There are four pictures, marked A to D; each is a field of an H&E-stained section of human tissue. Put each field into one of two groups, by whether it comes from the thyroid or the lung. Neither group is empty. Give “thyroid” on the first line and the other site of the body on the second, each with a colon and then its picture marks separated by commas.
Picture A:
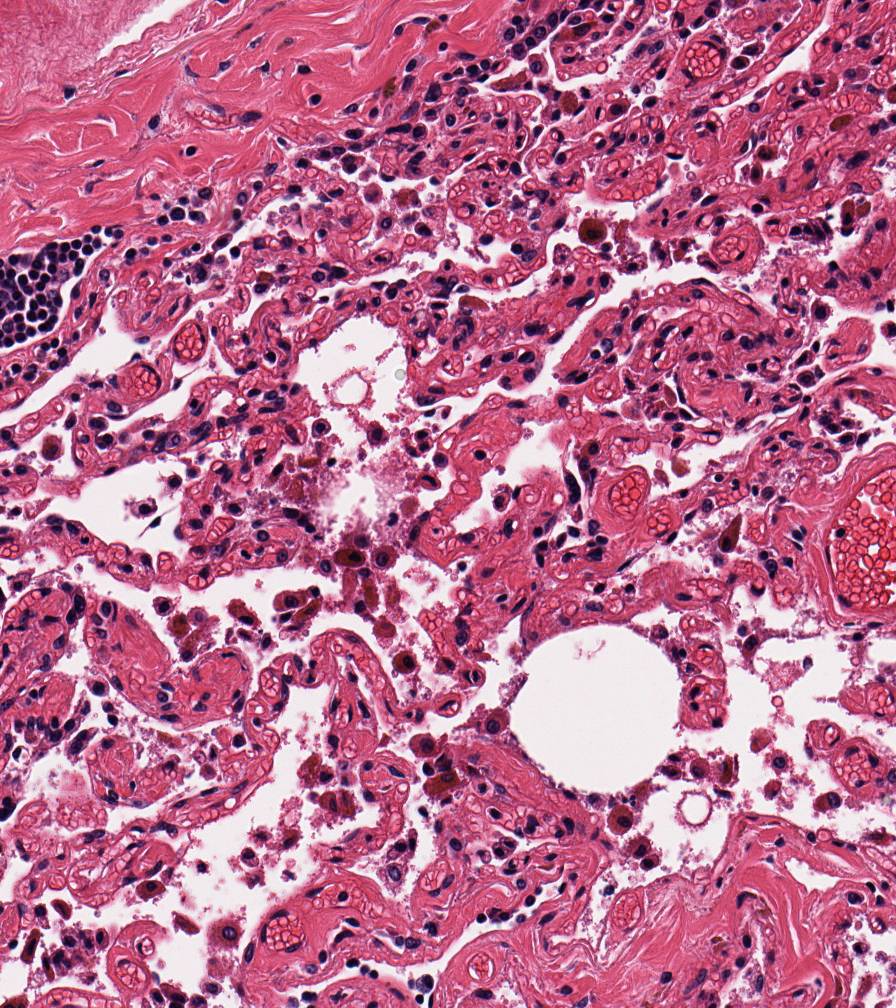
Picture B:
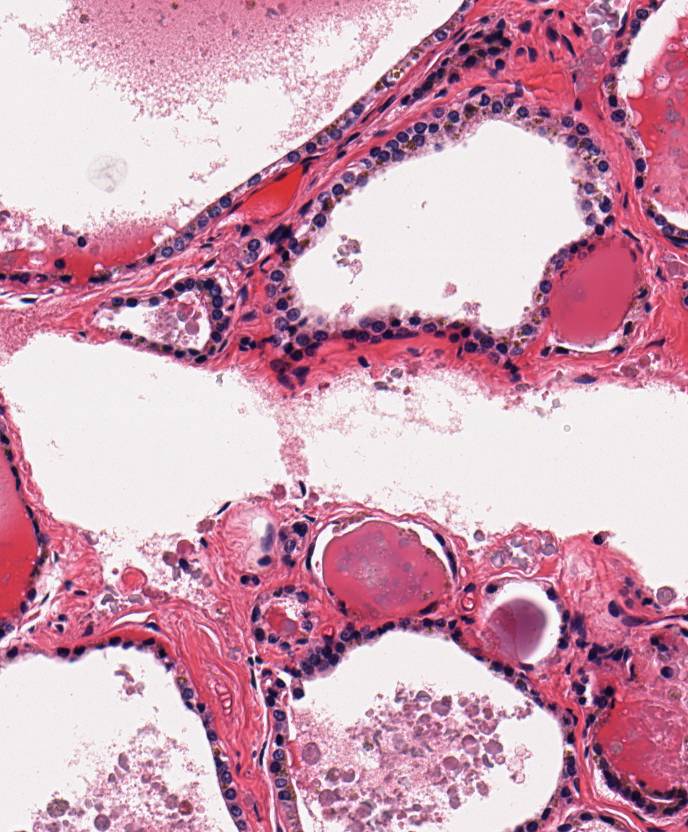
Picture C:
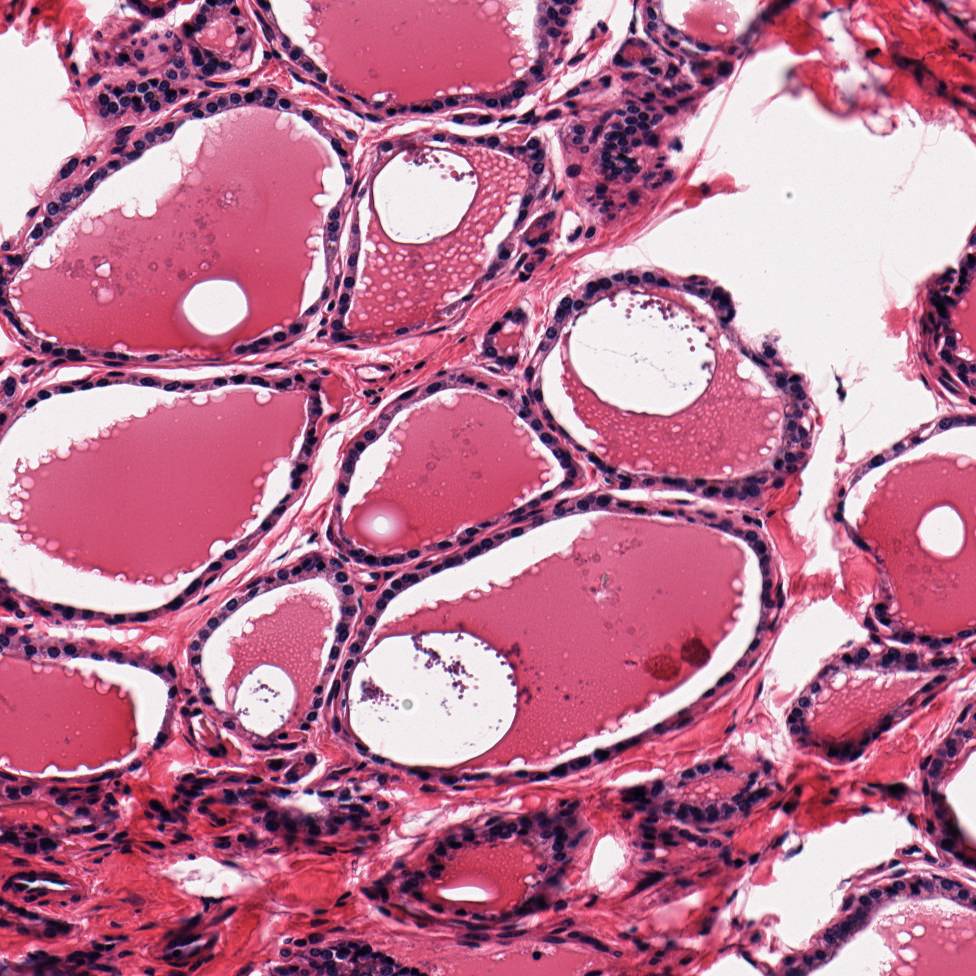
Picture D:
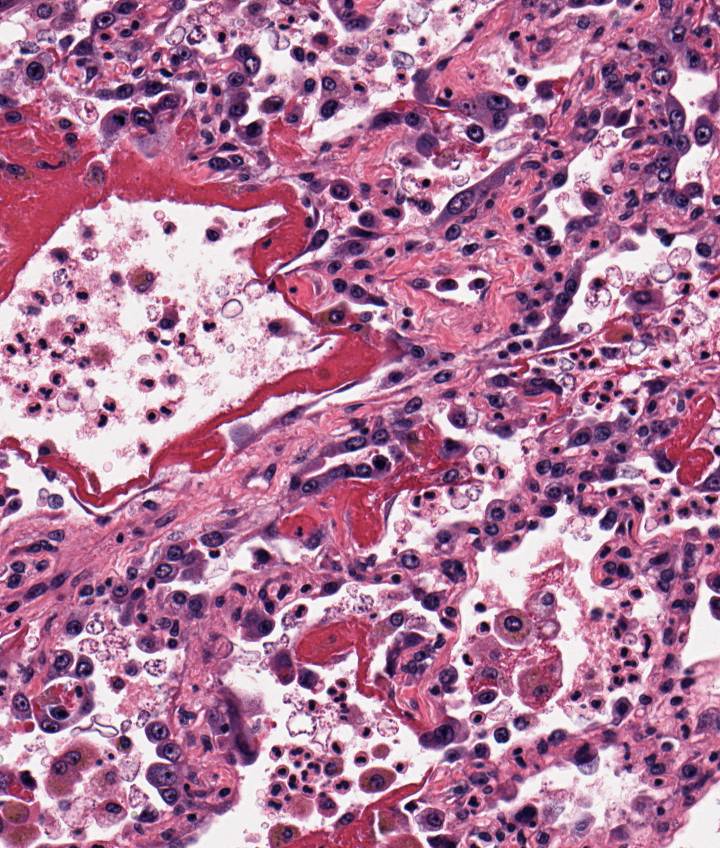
thyroid: B, C
lung: A, D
